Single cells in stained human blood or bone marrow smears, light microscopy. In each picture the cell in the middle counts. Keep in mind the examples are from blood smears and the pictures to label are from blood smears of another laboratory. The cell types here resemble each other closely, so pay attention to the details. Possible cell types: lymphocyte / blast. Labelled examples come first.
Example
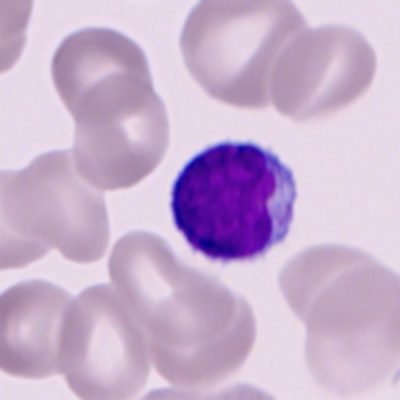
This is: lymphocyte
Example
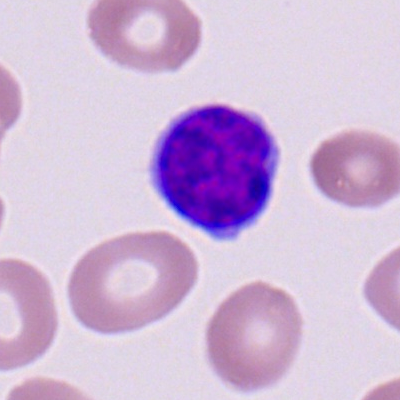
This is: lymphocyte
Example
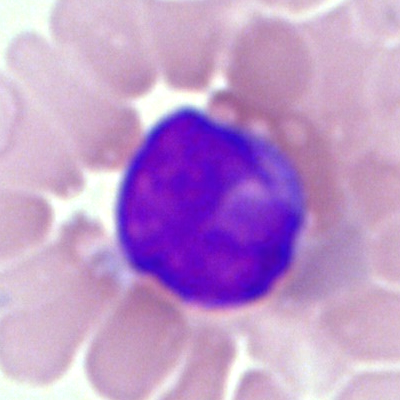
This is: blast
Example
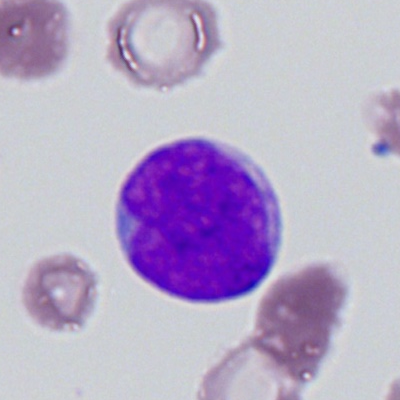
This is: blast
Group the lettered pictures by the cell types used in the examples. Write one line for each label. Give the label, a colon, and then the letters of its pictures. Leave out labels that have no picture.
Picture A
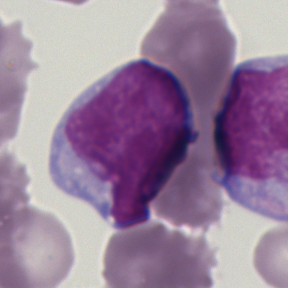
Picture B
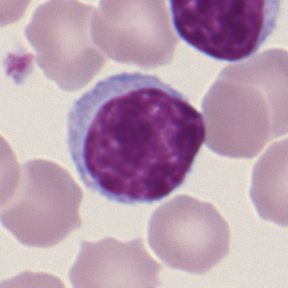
lymphocyte: B
blast: A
